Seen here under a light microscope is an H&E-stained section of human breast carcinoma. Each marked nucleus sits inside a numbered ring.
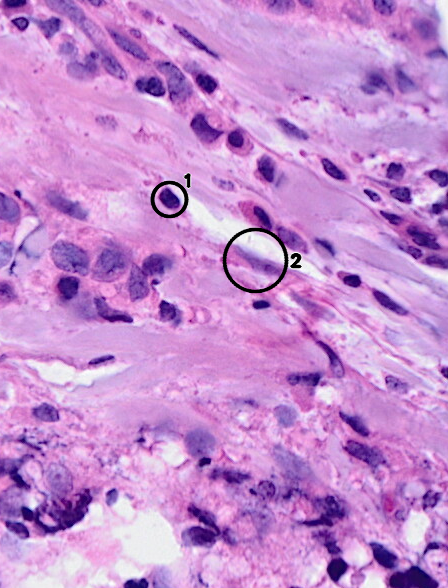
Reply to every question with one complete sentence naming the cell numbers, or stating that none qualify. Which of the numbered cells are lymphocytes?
Only cell 1 is a lymphocyte; none of the other numbered cells is.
